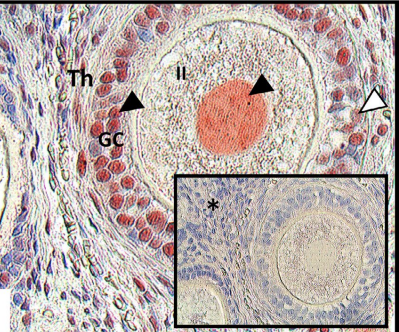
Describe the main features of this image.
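This shows a growing ovarian follicle: a large oocyte surrounded by several layers of granulosa cells, with theca cells outside them. The oocyte has pale, finely granular cytoplasm and a large round nucleus that stains evenly red. The granulosa cells are small, closely packed and rounded, with red-stained nuclei, and form a distinct ring around a clear zone encircling the oocyte. Outside this ring, flattened spindle-shaped theca cells with elongated nuclei run in concentric bands, and part of a smaller follicle is seen at the left edge.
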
